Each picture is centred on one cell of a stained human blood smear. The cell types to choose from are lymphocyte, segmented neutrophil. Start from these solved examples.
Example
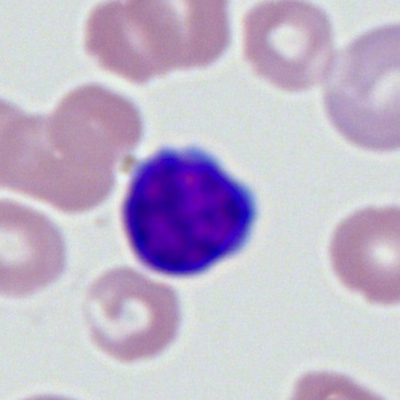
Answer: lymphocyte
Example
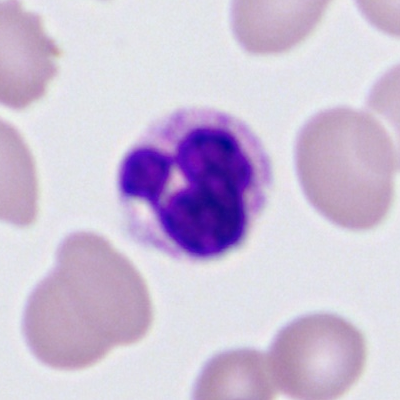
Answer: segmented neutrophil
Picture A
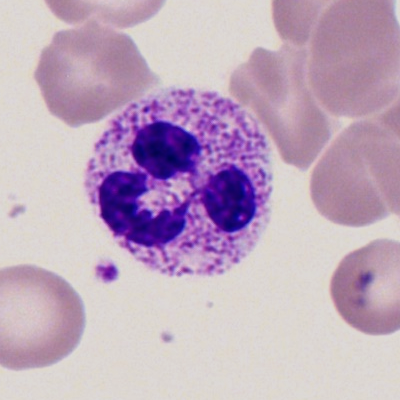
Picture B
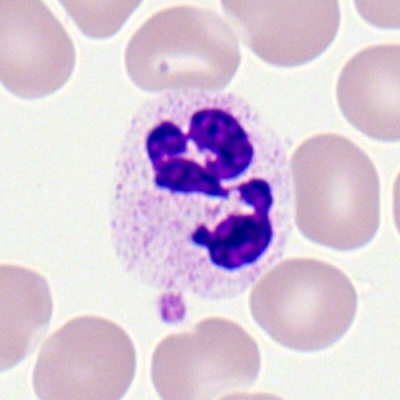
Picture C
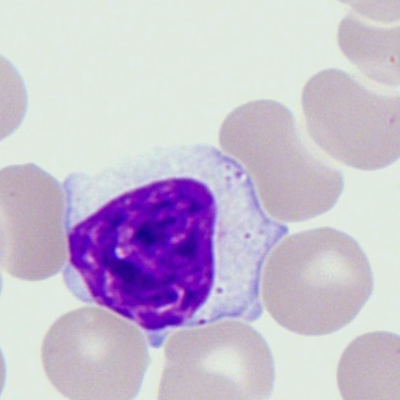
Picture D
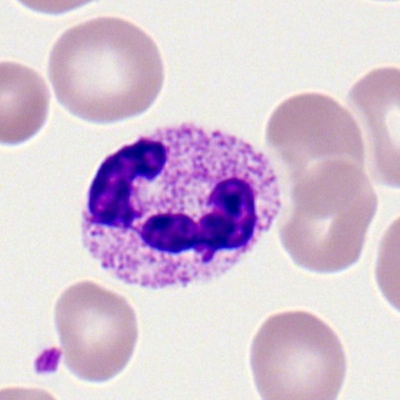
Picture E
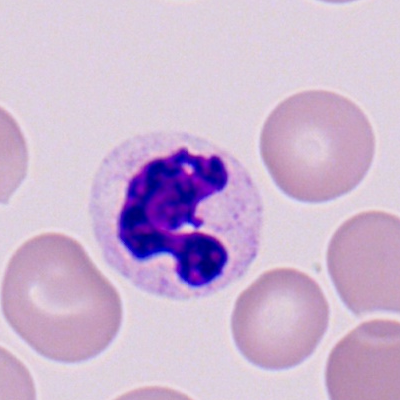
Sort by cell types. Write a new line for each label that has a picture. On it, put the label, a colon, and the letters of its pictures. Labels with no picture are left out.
lymphocyte: C
segmented neutrophil: A, B, D, E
